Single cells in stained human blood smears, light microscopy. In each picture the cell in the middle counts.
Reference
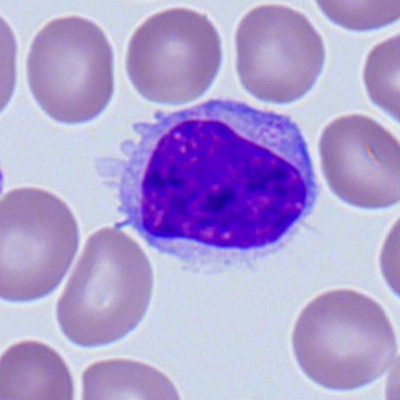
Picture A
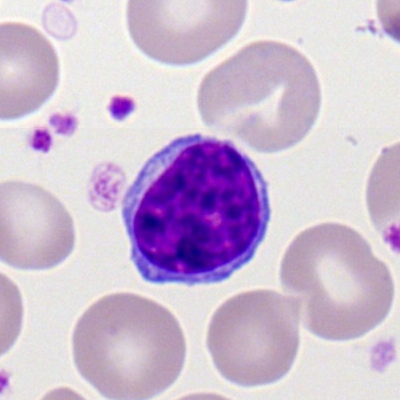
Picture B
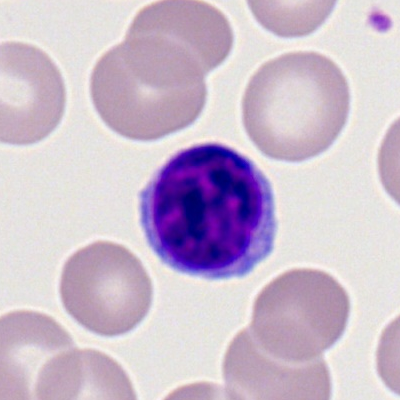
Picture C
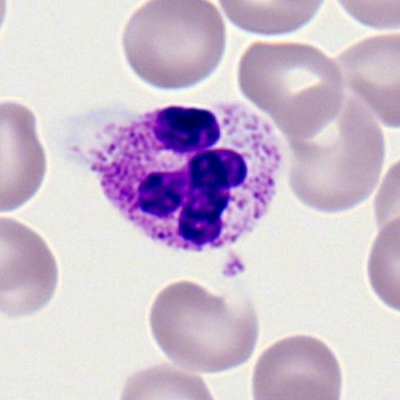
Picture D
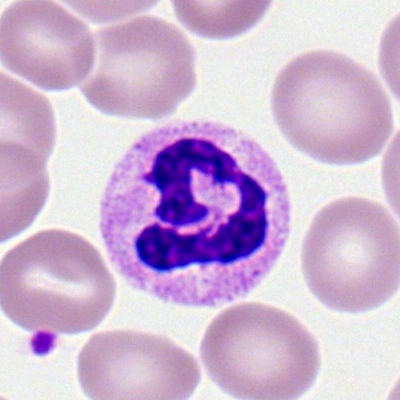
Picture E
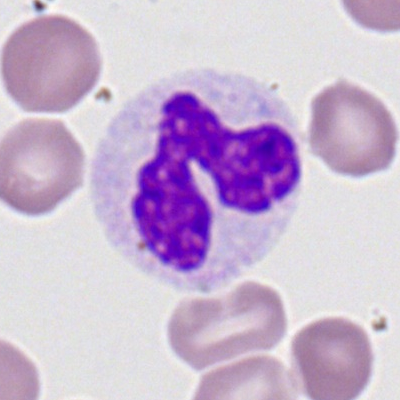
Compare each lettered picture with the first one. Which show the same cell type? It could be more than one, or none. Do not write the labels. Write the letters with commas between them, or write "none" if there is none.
A, B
